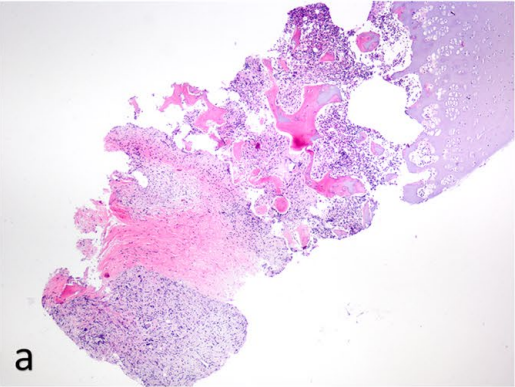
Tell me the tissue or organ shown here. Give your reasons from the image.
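Hypercellular bone marrow. Pink bony trabeculae enclose spaces densely filled with cells. Little fat is seen among the marrow cells.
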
